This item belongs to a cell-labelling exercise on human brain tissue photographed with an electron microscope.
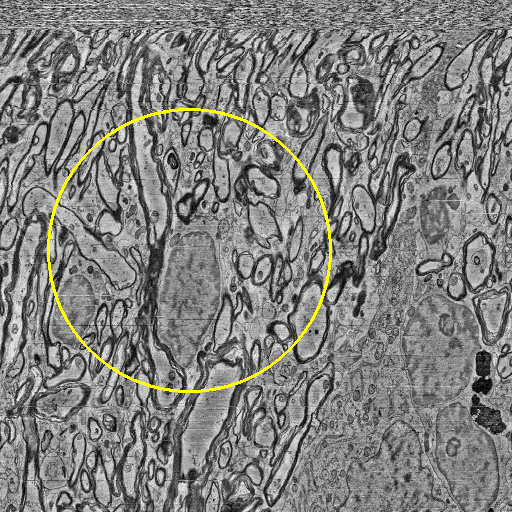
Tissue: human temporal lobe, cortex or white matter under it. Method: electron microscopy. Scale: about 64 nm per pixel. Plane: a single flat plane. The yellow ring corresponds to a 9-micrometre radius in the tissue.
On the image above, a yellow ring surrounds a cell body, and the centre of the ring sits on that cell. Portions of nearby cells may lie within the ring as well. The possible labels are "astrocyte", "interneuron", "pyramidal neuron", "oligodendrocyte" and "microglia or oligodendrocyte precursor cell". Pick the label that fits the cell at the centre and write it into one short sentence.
This cell should be labelled as an oligodendrocyte.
